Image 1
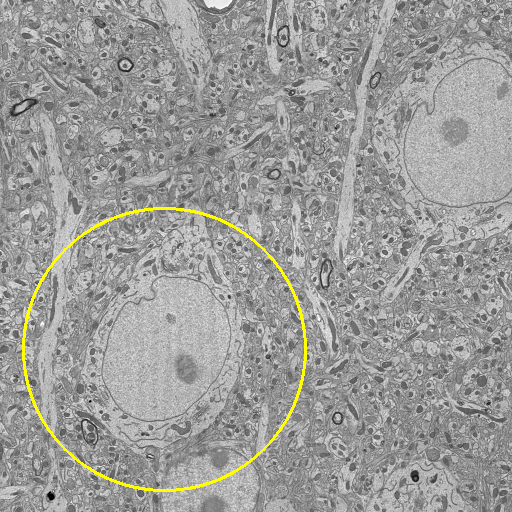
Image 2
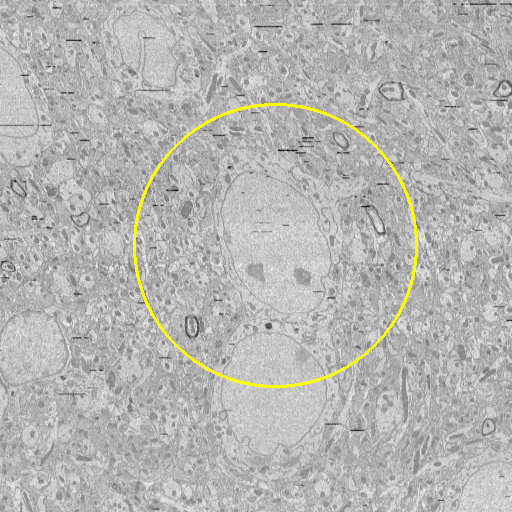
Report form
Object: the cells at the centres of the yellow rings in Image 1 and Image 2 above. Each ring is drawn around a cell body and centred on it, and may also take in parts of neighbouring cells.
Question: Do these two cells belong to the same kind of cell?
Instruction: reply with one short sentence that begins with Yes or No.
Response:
Yes, both belong to the same kind of cell.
